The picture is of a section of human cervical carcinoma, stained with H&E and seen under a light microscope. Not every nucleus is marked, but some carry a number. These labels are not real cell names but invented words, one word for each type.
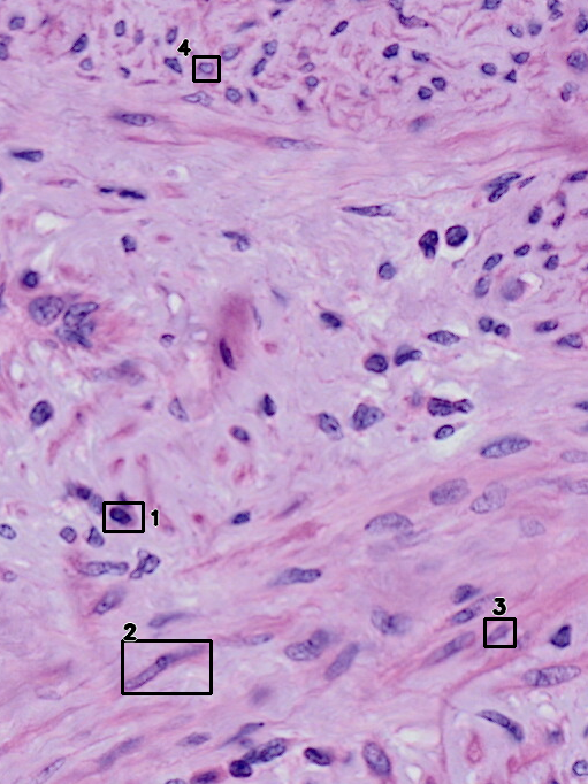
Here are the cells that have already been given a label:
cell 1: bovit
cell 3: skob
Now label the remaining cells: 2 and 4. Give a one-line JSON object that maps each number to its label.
{"2": "skob", "4": "skob"}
